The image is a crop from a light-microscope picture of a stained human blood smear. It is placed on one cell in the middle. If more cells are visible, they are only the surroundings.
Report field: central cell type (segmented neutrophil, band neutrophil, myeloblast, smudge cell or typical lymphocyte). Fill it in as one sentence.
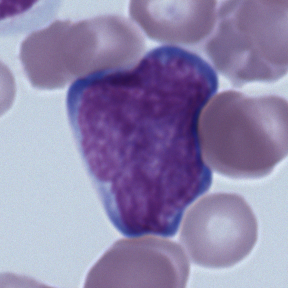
The cell shown in the center of this light-microscope crop is a myeloblast.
